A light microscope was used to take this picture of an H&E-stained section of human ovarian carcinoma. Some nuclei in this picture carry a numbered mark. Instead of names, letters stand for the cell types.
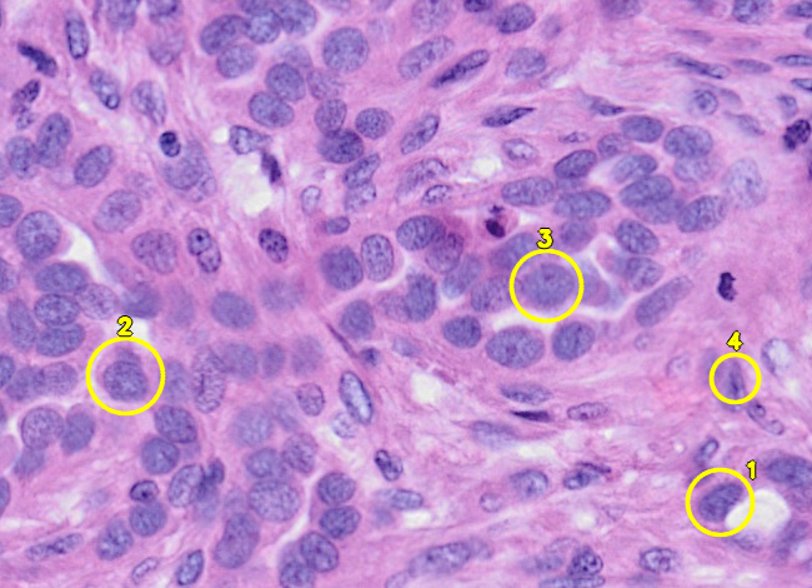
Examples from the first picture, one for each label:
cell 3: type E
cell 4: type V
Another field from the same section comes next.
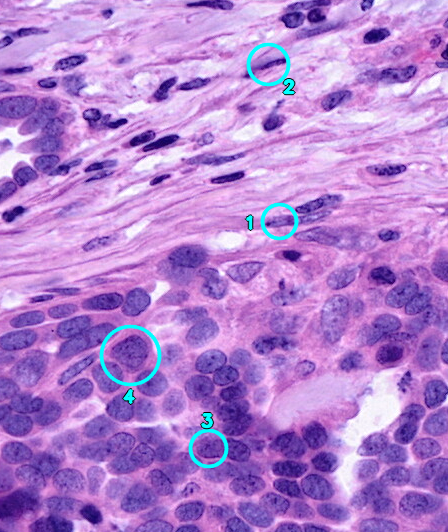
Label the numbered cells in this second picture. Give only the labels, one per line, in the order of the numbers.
type V
type V
type E
type E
